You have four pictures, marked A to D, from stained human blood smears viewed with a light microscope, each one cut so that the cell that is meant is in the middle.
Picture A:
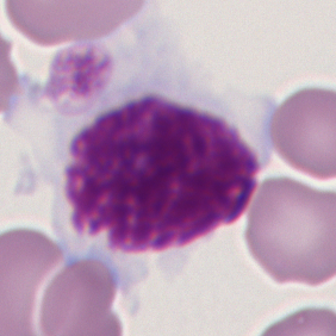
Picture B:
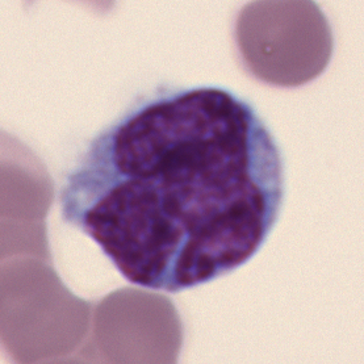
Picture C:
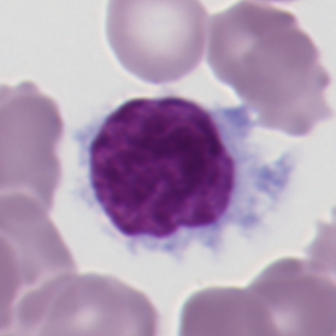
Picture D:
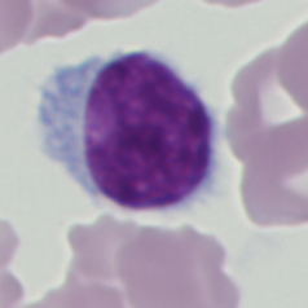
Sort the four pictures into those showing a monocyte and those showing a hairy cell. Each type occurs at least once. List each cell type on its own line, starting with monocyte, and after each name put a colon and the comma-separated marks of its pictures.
monocyte: B
hairy cell: A, C, D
